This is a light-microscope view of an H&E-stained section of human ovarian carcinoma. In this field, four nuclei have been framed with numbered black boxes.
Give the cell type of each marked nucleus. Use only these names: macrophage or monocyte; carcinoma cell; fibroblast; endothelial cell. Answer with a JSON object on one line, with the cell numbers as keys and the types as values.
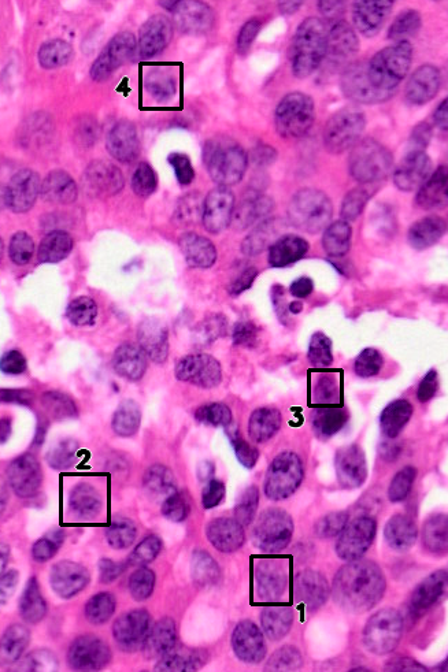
{"1": "carcinoma cell", "2": "carcinoma cell", "3": "carcinoma cell", "4": "macrophage or monocyte"}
